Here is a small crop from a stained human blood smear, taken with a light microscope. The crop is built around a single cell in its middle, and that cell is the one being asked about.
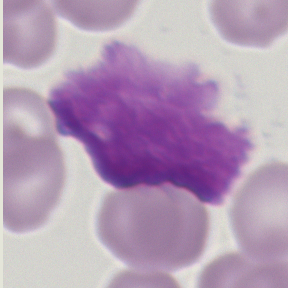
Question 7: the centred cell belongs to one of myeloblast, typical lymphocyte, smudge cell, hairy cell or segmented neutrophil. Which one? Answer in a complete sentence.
What the crop centres on is a smudge cell.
